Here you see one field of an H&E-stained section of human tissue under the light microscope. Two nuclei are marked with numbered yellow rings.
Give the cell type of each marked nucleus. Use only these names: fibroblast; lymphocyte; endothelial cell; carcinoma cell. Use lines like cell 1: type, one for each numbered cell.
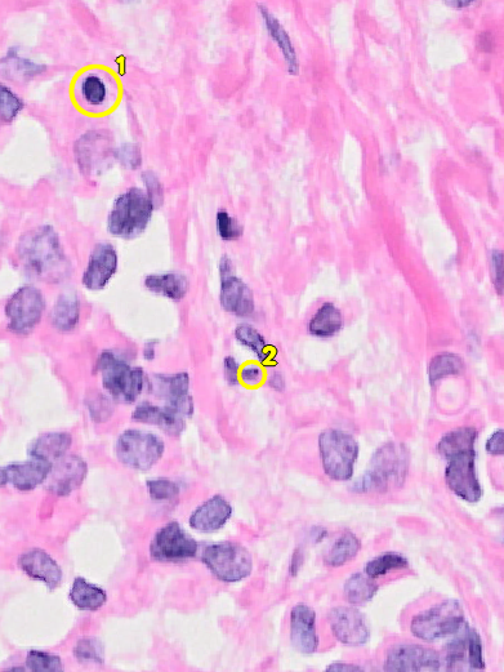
cell 1: lymphocyte
cell 2: endothelial cell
